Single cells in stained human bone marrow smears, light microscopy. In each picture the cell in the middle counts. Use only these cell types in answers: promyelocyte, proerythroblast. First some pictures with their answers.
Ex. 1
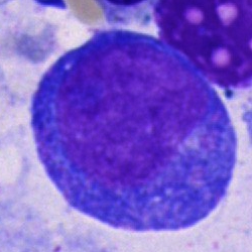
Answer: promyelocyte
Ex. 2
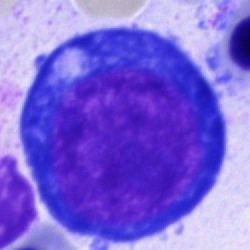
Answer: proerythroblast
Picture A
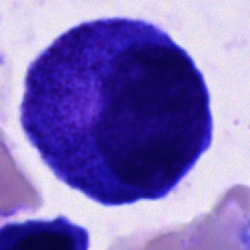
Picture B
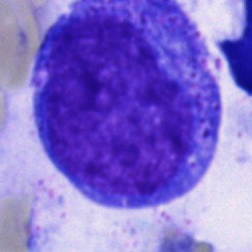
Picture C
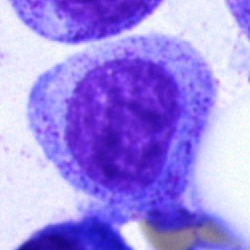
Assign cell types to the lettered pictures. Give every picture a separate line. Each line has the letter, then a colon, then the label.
A: promyelocyte
B: promyelocyte
C: promyelocyte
